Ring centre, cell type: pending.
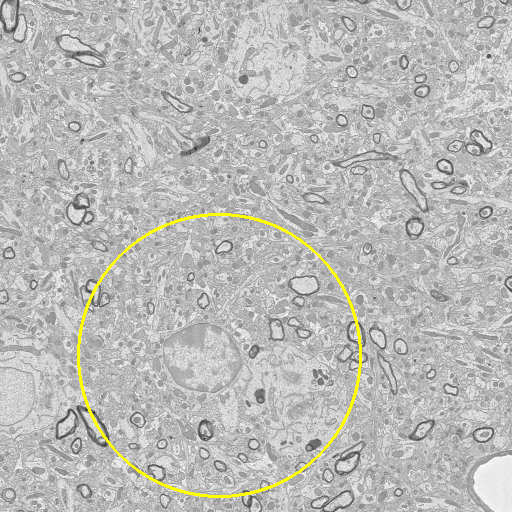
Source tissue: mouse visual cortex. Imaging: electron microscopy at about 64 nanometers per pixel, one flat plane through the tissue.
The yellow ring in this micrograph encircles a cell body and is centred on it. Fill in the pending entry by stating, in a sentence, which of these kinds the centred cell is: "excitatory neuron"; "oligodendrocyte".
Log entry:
The centred cell is recorded as an oligodendrocyte.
